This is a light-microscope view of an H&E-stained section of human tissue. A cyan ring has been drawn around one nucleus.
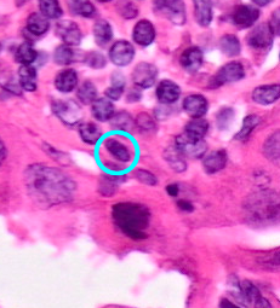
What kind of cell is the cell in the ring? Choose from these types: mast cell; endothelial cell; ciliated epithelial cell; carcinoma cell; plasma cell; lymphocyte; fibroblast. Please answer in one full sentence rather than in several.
By cell type, the cell in the ring is a lymphocyte.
